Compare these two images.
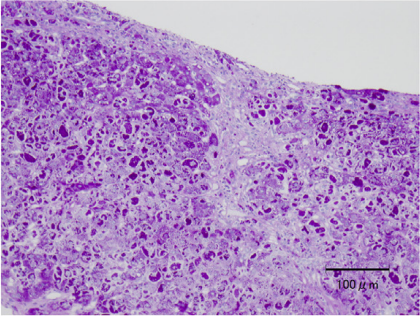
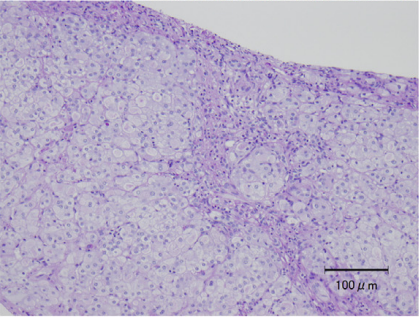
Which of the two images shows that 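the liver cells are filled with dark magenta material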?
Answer: the first image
